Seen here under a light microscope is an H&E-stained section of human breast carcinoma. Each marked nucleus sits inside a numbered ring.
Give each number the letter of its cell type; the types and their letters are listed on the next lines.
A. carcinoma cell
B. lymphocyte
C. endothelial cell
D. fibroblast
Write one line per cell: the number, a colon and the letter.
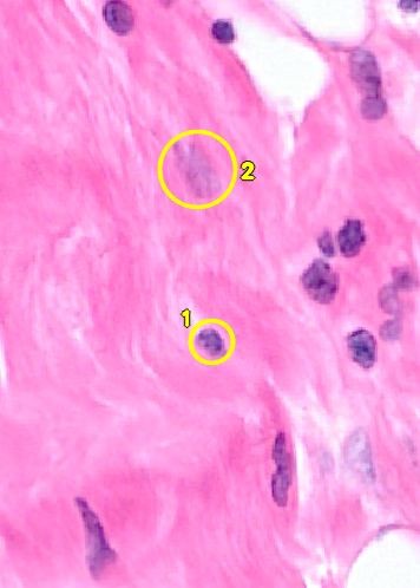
1: B
2: D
